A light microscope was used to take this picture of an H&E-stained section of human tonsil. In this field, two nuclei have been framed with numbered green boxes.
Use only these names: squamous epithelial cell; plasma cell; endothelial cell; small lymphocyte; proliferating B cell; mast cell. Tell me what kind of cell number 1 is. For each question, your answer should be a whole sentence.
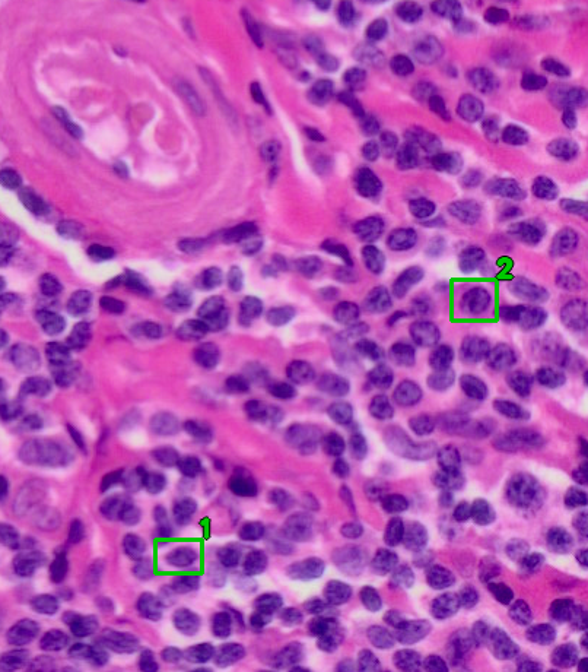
The cell referred to as 1 is a small lymphocyte.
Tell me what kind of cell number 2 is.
Number 2 is placed on a plasma cell here.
